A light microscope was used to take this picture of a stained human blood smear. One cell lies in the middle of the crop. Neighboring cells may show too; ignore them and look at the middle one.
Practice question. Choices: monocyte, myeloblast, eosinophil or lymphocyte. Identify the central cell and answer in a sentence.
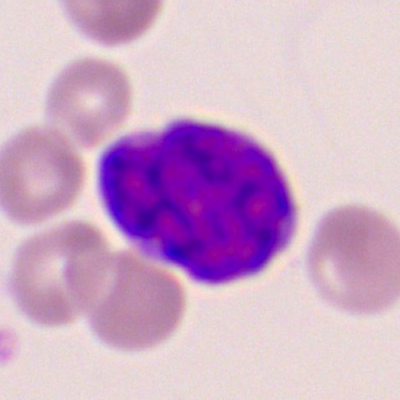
In the central position of this crop, the cell is a myeloblast.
